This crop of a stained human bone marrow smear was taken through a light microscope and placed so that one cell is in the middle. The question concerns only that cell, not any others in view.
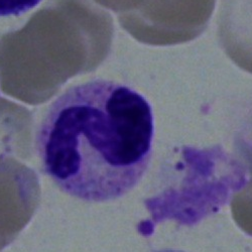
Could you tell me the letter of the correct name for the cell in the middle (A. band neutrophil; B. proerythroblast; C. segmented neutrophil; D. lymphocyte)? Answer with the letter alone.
C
